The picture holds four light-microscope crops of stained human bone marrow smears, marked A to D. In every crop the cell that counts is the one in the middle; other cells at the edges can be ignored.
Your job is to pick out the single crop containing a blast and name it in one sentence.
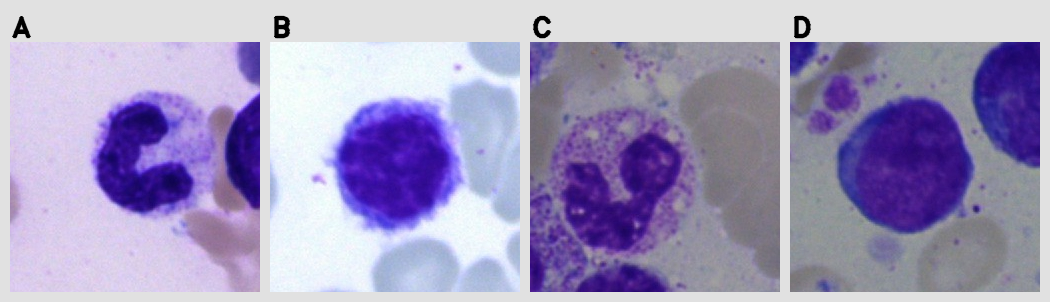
Of the labeled crops, the one with a blast is crop D.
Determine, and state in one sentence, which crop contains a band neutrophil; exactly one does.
As for which crop shows a band neutrophil, it is crop A.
